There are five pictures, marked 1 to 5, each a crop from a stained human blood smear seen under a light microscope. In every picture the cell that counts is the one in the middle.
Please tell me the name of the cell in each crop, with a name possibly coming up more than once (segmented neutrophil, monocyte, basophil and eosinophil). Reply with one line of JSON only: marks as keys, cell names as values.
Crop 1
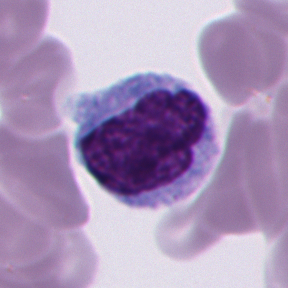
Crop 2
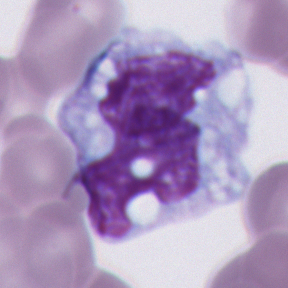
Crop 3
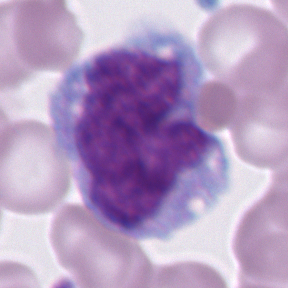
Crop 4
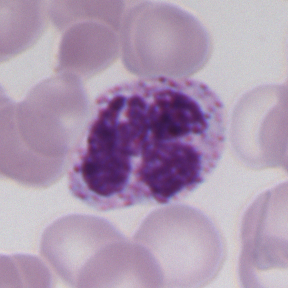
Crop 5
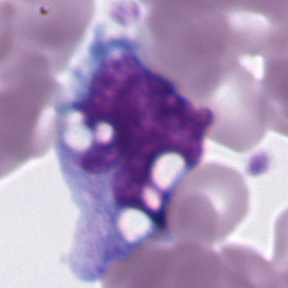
{"1": "monocyte", "2": "monocyte", "3": "monocyte", "4": "basophil", "5": "monocyte"}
